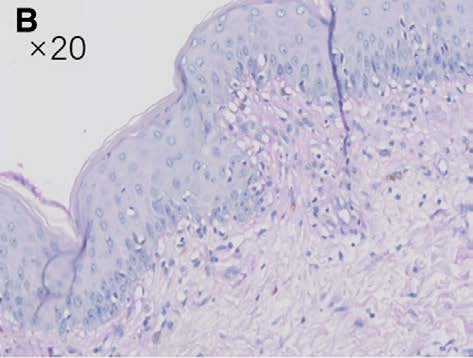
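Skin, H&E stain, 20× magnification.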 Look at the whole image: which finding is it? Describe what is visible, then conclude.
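Clear empty spaces lie among cells in the lower epidermis. The boundary between epidermis and dermis is blurred by these clear spaces. So: vacuolar degeneration in the basal layer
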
